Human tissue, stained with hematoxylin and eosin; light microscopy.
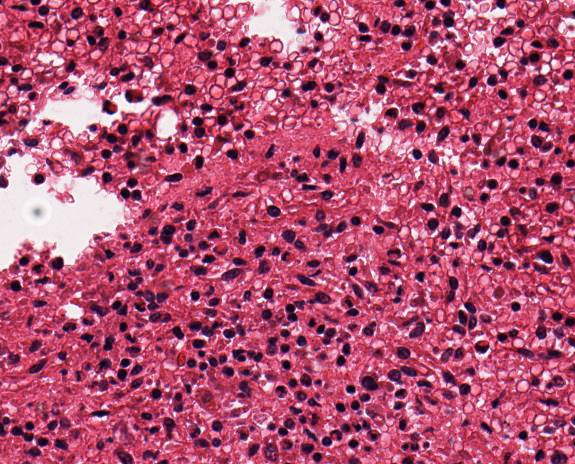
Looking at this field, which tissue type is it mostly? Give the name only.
red pulp of the spleen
